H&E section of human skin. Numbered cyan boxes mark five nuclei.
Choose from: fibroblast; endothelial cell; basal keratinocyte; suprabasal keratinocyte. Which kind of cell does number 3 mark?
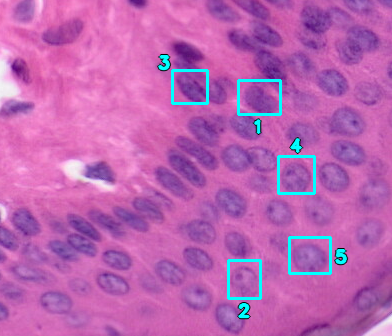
basal keratinocyte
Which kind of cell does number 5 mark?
suprabasal keratinocyte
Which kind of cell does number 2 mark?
suprabasal keratinocyte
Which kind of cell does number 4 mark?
suprabasal keratinocyte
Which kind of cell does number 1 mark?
basal keratinocyte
